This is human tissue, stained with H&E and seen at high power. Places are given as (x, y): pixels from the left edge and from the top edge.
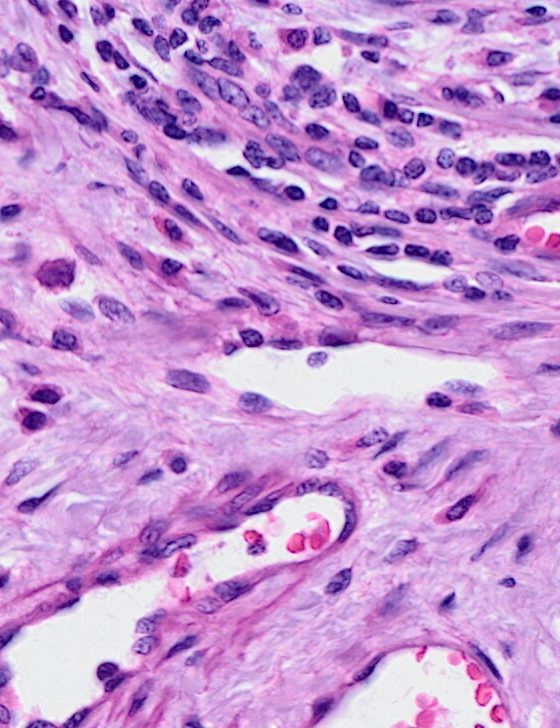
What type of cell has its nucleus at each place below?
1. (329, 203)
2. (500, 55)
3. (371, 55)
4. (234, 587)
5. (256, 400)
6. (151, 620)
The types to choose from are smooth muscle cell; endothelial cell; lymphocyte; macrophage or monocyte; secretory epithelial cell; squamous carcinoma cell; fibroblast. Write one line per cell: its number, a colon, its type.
1: lymphocyte
2: macrophage or monocyte
3: lymphocyte
4: endothelial cell
5: endothelial cell
6: endothelial cell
